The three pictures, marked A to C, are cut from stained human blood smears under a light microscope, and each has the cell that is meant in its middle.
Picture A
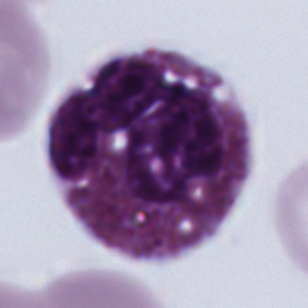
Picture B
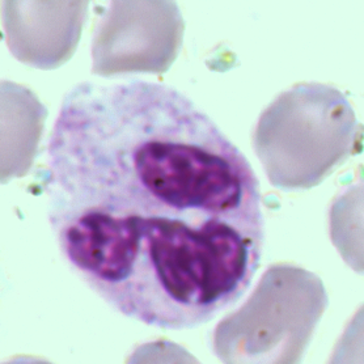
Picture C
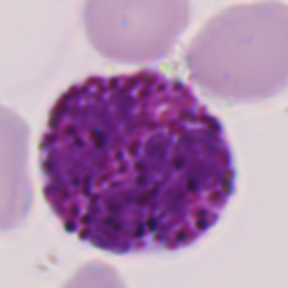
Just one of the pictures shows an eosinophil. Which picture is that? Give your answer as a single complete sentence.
The eosinophil is the one in picture A.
